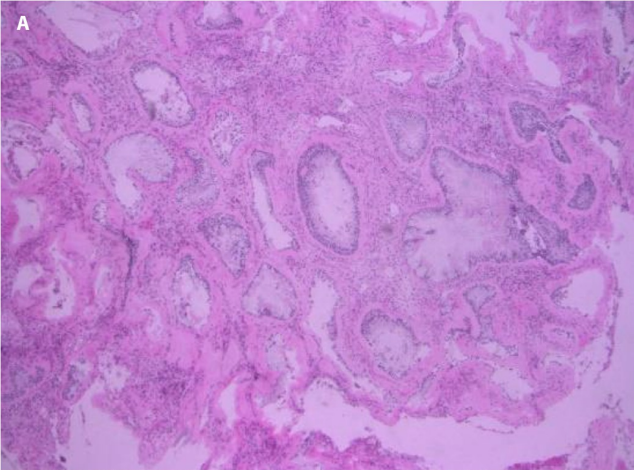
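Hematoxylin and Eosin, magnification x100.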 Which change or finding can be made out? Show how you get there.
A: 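Glandular proliferation. Glands are separated by intervening stroma. Many gland lumens are dilated and contain pale material.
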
